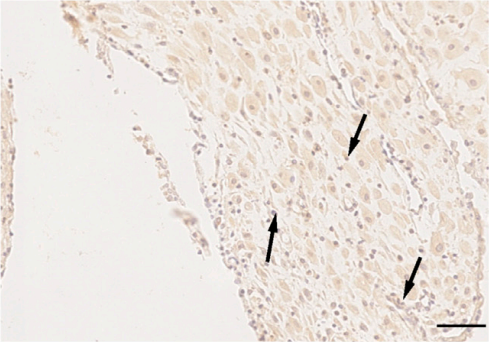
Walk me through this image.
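Smaller cells with darker nuclei are scattered among them. The tissue edge on the left is loose and frayed, and beyond it lies empty space. The brown stain is faint and diffuse across the cytoplasm of the large cells.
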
